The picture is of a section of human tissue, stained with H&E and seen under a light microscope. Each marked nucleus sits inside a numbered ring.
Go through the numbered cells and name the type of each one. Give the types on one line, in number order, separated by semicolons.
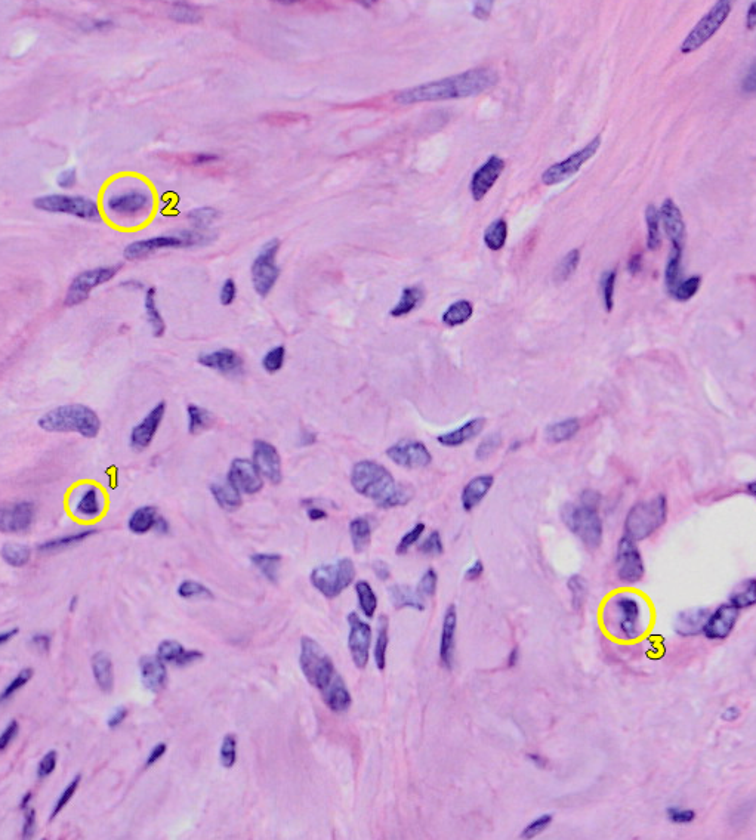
fibroblast; fibroblast; endothelial cell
